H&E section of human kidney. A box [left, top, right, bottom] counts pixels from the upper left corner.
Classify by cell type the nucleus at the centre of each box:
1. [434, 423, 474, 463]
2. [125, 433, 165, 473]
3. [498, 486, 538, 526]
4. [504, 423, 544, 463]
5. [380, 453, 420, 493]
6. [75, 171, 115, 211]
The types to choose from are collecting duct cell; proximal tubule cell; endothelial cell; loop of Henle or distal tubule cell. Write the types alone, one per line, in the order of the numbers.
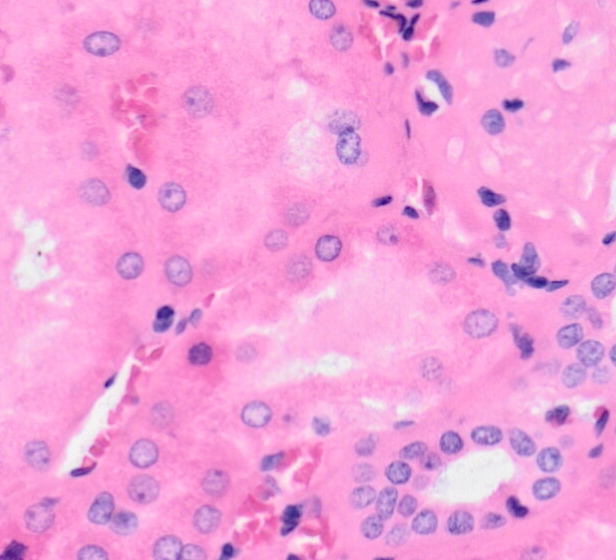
collecting duct cell
proximal tubule cell
collecting duct cell
collecting duct cell
collecting duct cell
proximal tubule cell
